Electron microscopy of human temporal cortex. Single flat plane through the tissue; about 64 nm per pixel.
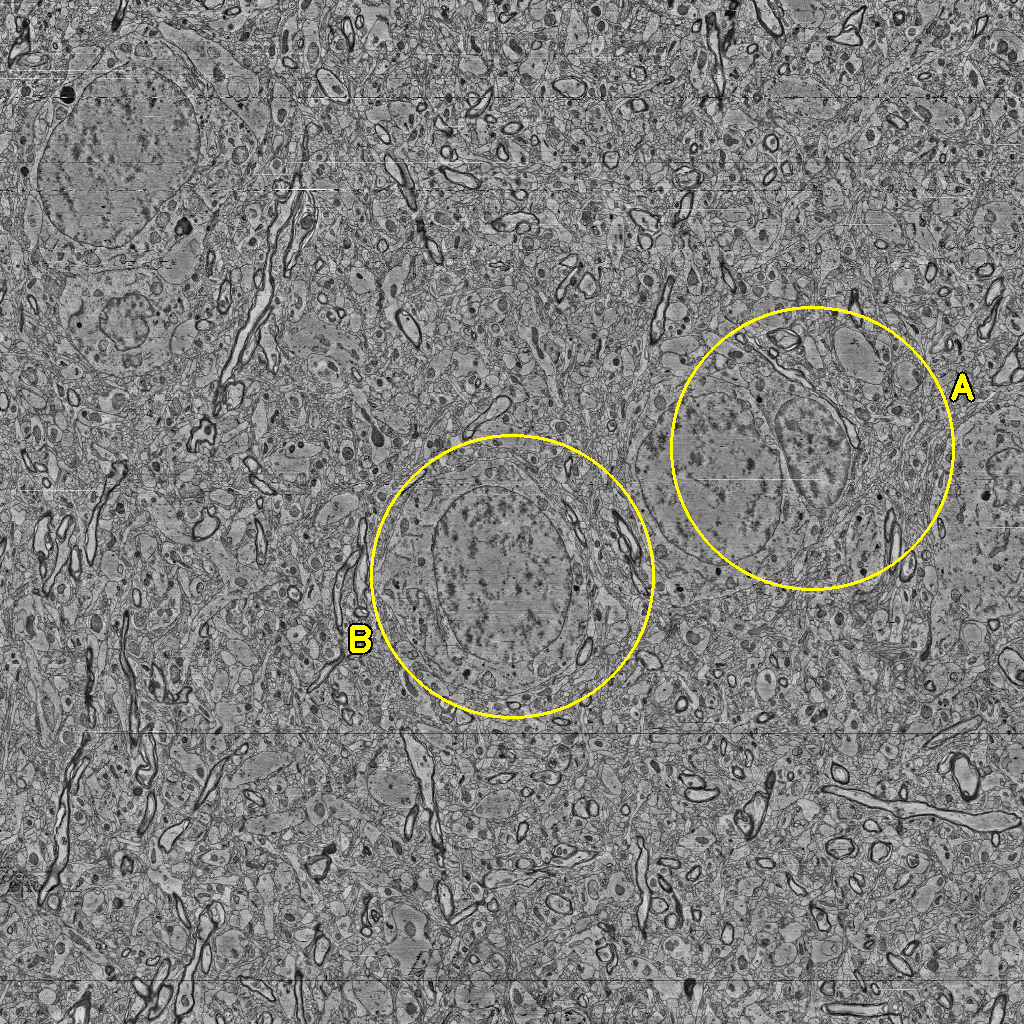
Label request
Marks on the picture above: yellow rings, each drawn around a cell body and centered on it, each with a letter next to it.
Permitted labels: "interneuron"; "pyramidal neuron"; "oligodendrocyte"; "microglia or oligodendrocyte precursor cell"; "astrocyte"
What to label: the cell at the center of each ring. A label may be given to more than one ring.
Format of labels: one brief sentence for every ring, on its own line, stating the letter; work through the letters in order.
The cell at the center of ring A is an oligodendrocyte.
The cell at the center of ring B is a pyramidal neuron.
